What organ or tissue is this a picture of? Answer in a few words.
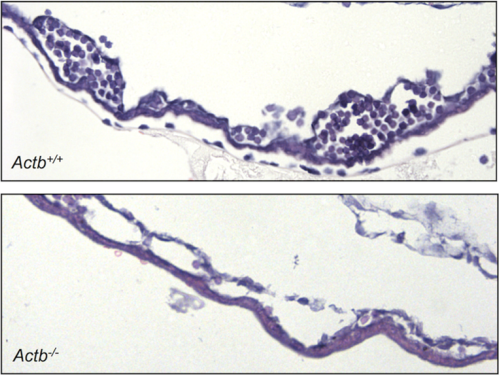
Yolk sac.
